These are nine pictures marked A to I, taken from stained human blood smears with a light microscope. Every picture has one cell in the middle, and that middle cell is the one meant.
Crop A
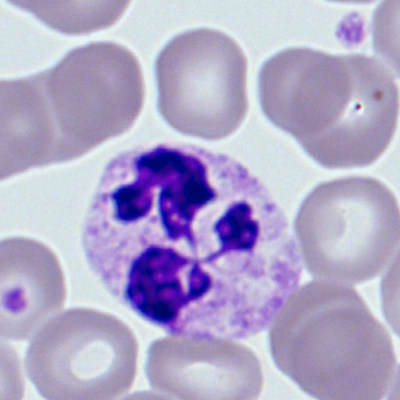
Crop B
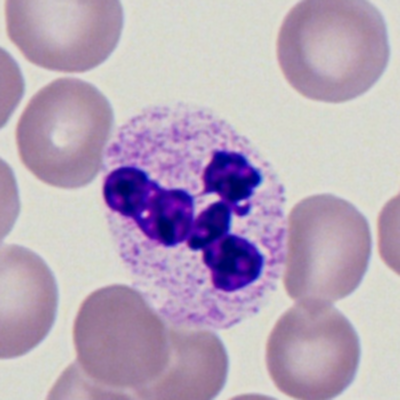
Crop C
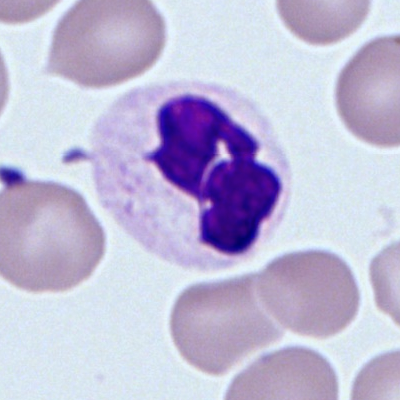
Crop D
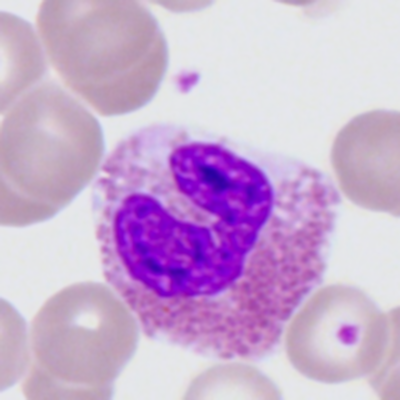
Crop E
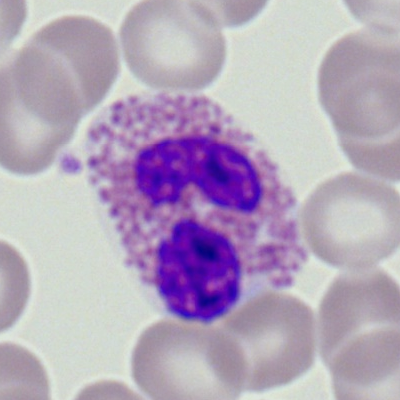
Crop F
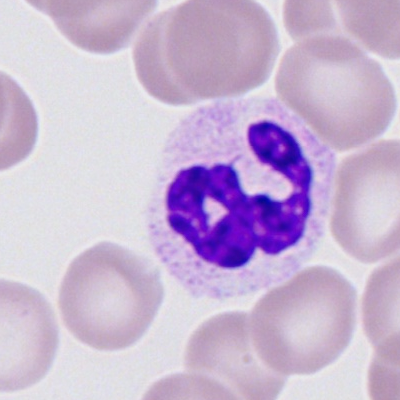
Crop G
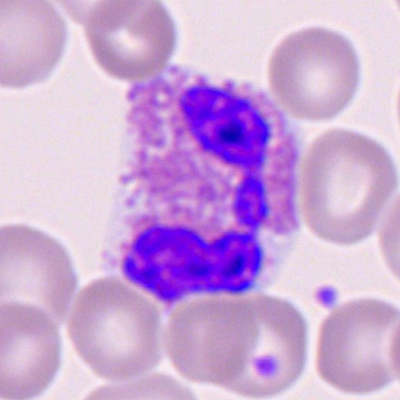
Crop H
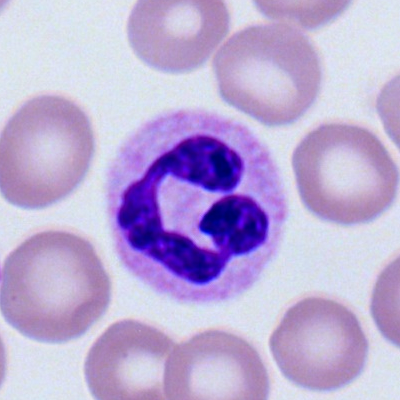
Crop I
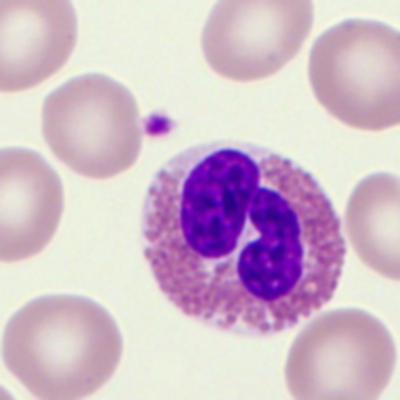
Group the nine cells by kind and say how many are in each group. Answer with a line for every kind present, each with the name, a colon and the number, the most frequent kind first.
neutrophil: 5
eosinophil: 4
